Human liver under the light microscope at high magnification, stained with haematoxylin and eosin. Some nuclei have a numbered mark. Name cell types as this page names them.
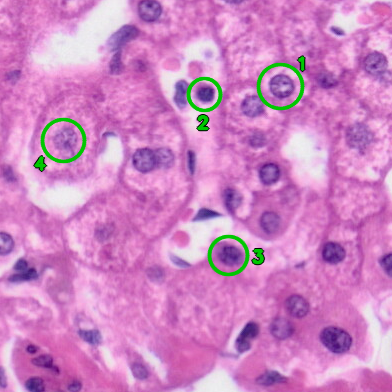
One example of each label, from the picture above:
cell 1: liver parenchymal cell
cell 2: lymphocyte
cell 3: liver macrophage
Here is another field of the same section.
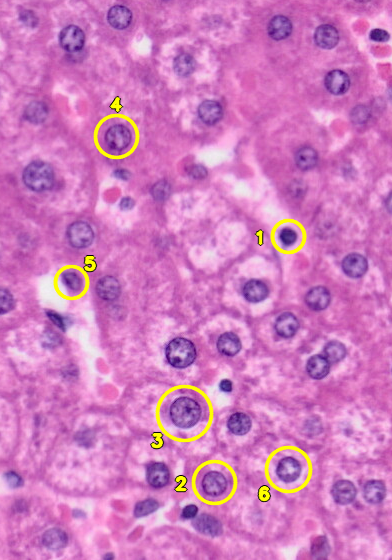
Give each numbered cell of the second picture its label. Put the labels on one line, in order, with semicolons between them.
lymphocyte; liver parenchymal cell; liver parenchymal cell; liver parenchymal cell; liver macrophage; liver parenchymal cell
